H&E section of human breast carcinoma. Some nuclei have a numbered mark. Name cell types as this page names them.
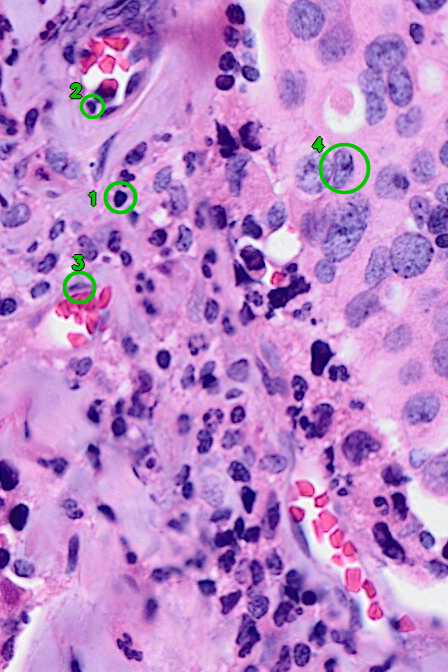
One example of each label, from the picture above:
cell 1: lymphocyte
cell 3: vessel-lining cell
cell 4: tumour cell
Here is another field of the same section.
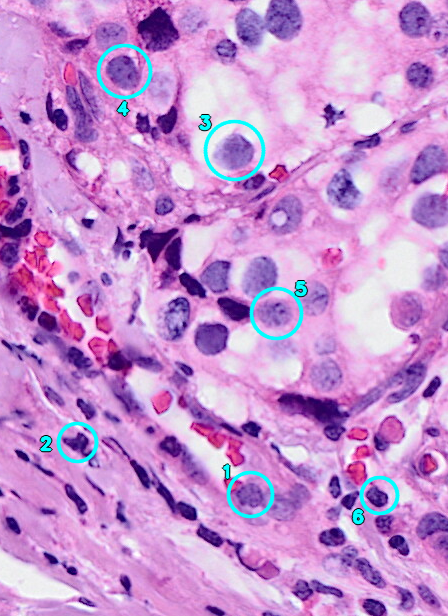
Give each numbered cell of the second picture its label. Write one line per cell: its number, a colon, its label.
1: vessel-lining cell
2: lymphocyte
3: tumour cell
4: tumour cell
5: tumour cell
6: lymphocyte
